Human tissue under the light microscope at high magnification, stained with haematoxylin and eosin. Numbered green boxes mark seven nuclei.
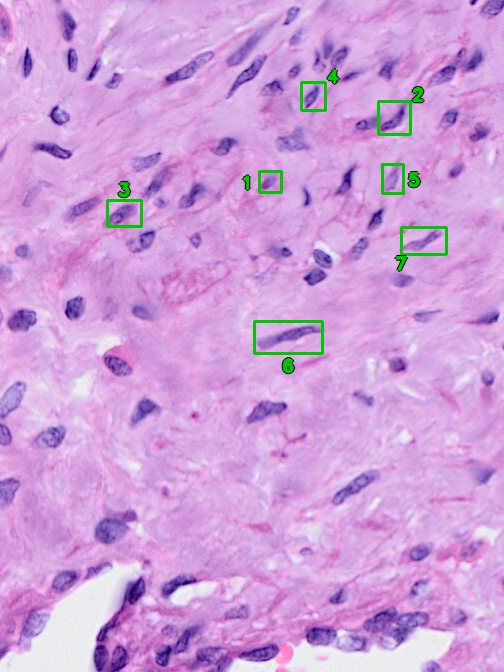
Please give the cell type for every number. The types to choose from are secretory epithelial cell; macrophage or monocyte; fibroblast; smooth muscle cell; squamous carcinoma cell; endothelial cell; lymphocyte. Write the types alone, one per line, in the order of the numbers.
smooth muscle cell
smooth muscle cell
smooth muscle cell
fibroblast
smooth muscle cell
fibroblast
fibroblast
